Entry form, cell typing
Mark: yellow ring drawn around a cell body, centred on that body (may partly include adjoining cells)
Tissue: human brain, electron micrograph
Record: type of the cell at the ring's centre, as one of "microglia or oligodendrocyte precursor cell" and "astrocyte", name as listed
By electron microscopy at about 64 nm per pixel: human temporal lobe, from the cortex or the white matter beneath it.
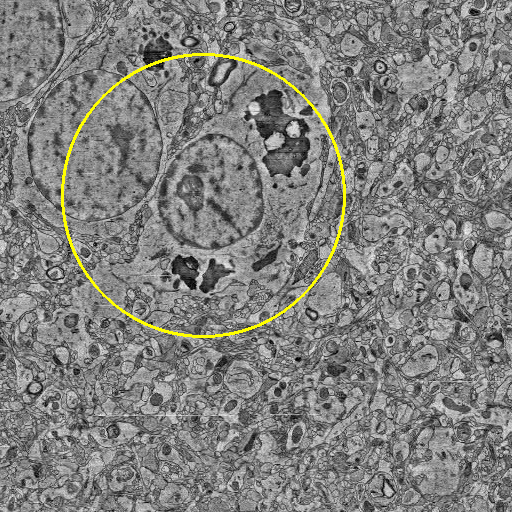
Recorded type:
astrocyte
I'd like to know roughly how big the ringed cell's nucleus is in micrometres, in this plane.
In this plane the ringed cell's nucleus is roughly 7 micrometres across.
